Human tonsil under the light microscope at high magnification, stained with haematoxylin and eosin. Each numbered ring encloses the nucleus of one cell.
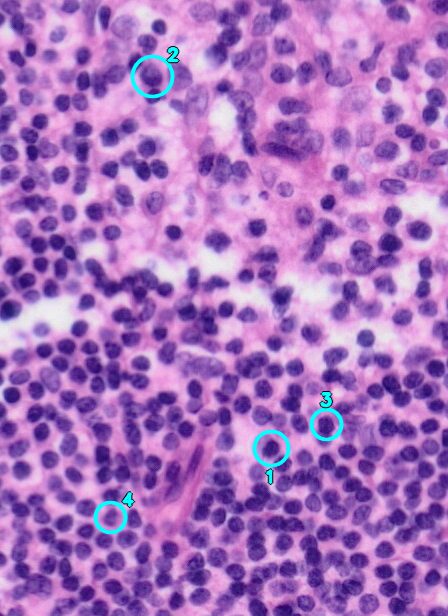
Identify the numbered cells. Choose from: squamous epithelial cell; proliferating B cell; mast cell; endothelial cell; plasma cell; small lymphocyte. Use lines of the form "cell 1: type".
cell 1: small lymphocyte
cell 2: proliferating B cell
cell 3: small lymphocyte
cell 4: small lymphocyte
